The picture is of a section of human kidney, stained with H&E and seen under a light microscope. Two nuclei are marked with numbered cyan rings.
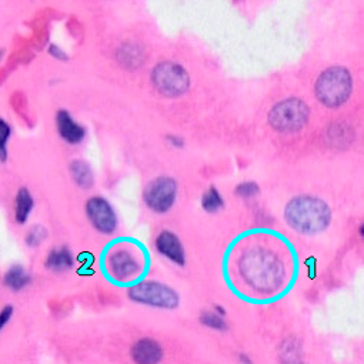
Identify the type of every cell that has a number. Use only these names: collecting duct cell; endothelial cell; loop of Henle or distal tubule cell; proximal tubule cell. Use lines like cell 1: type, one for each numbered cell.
cell 1: proximal tubule cell
cell 2: collecting duct cell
